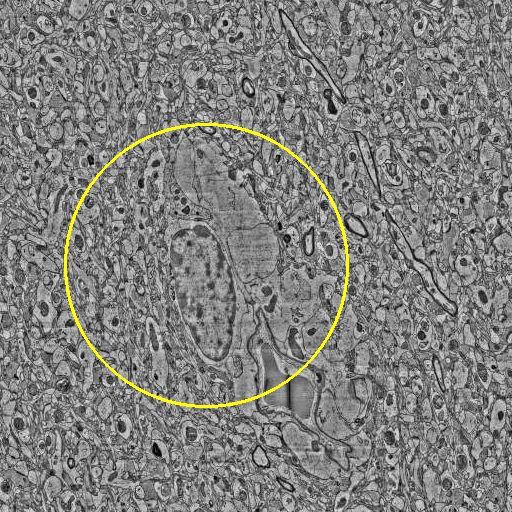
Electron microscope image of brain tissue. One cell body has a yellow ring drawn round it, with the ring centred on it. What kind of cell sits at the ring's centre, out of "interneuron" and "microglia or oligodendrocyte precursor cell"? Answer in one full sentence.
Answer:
It is a microglial cell or oligodendrocyte precursor cell whose cell body sits at the centre of the yellow ring.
